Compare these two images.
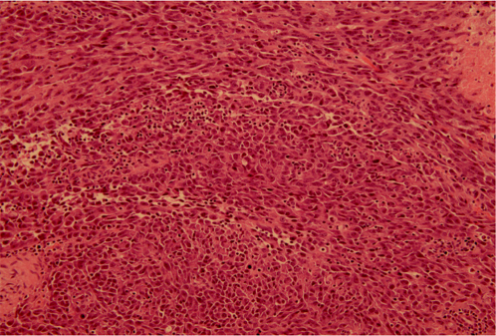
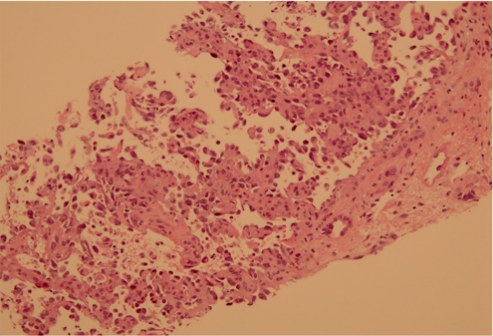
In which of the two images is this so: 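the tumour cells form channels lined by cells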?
The second image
